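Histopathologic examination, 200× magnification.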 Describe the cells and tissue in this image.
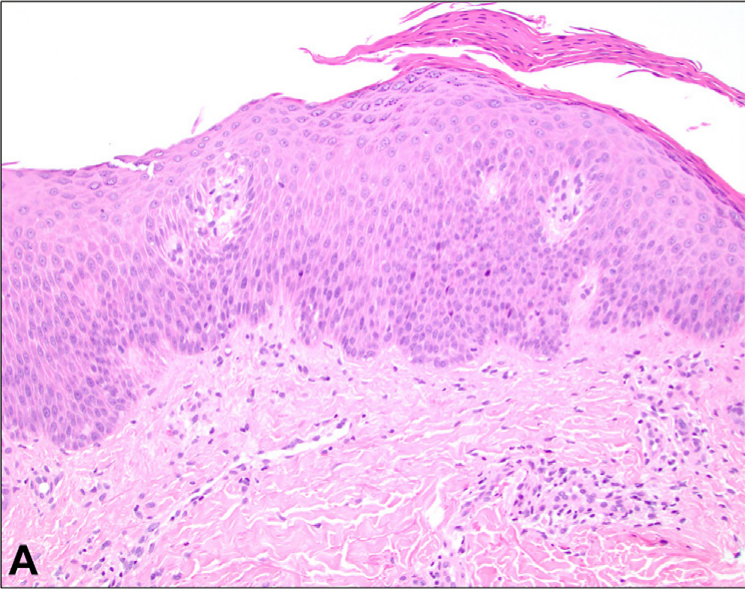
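Skin with a thickened epidermis of keratinocytes, showing elongated rete ridges and pale spaces between the keratinocytes. The cornified layer on top is partly detached and retains flattened nuclei. The upper dermis holds a sparse scatter of small dark round inflammatory cells among pale collagen.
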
